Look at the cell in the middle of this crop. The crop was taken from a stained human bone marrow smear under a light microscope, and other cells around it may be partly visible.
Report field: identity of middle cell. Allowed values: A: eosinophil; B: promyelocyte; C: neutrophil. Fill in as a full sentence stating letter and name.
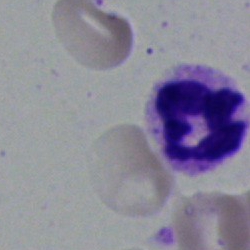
The centrally positioned cell is a neutrophil, consistent with option C, which is correct.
